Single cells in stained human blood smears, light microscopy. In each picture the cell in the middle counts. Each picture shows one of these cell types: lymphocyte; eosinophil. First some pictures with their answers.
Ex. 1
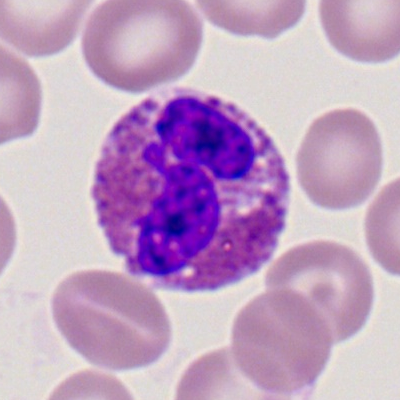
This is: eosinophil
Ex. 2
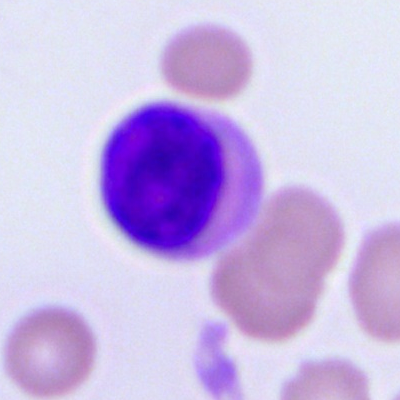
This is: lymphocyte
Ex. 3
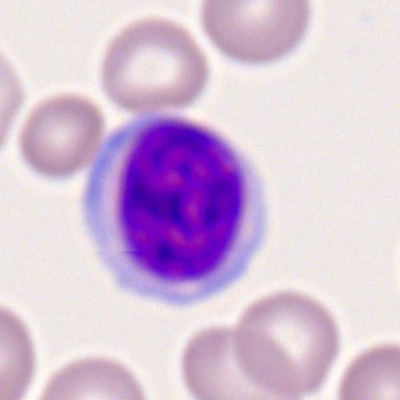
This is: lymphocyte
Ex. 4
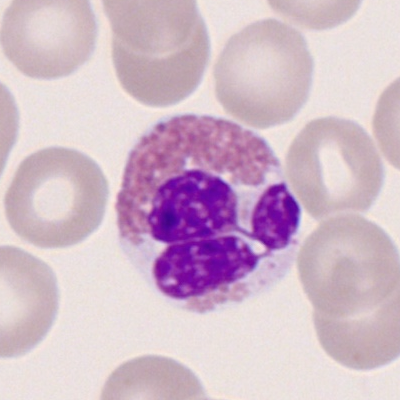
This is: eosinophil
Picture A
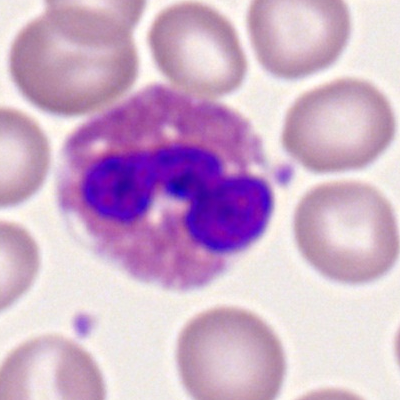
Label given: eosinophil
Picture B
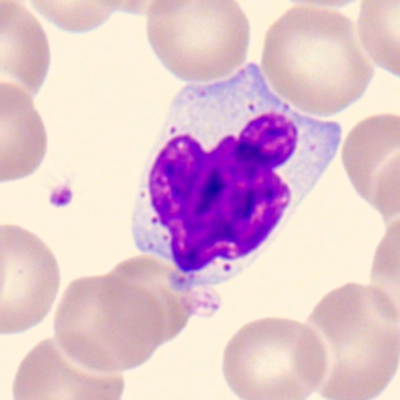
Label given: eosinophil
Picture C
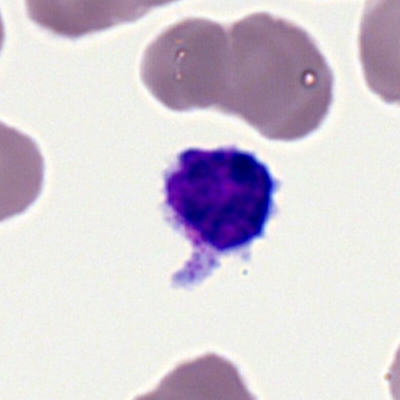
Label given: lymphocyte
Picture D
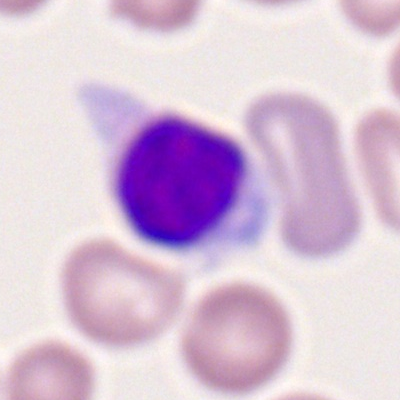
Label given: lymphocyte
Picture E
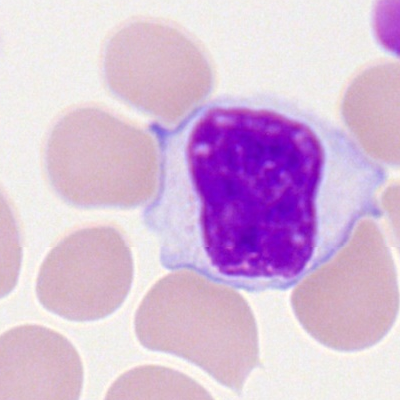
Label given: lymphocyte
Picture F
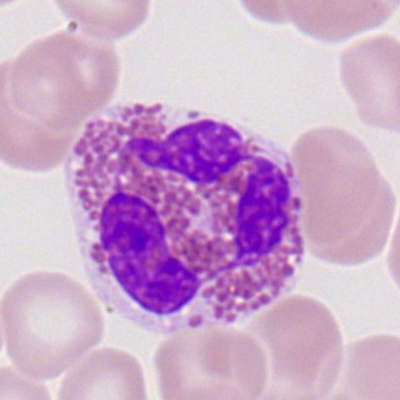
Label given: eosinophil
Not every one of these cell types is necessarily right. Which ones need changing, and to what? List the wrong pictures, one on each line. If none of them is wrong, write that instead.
B: lymphocyte, not eosinophil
